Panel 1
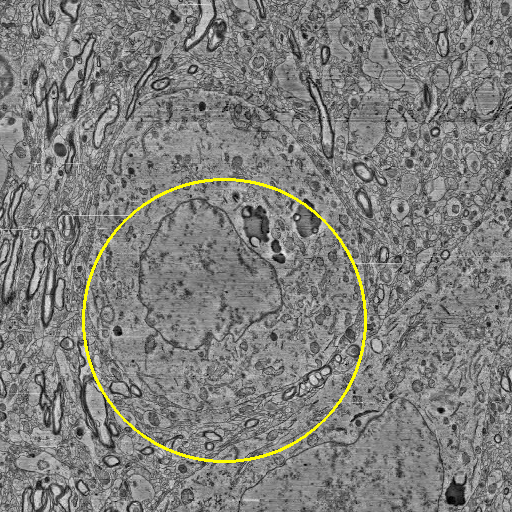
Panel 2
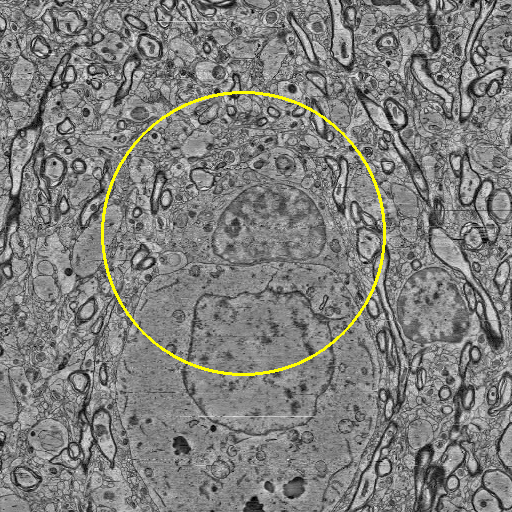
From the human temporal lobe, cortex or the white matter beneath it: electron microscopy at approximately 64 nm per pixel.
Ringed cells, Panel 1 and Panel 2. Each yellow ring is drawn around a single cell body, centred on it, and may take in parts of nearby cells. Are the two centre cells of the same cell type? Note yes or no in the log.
no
